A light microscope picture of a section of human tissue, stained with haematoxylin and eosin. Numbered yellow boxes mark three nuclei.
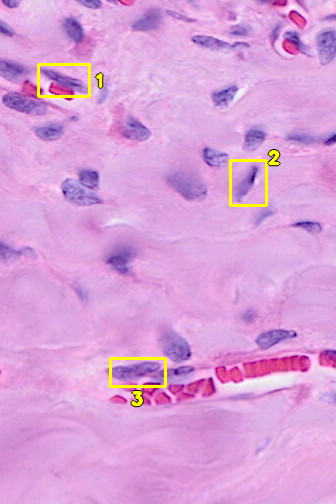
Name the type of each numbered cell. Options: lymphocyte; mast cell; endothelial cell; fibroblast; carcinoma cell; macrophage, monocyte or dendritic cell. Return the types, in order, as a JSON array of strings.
["endothelial cell", "fibroblast", "endothelial cell"]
